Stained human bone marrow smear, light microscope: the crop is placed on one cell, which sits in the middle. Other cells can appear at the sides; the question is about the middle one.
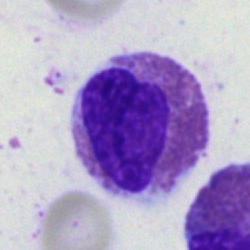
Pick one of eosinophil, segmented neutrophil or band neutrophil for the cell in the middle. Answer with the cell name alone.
eosinophil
